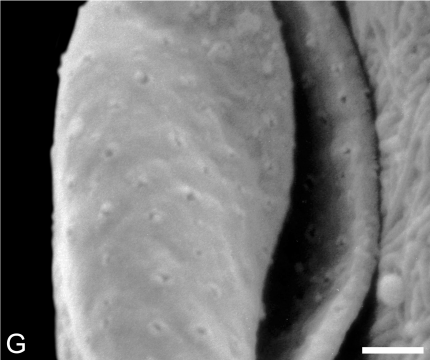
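The wall surface is smooth and bears relatively few, tiny, widely scattered perforations. A dark elongated furrow runs alongside it, and beyond lies a neighbouring surface covered with densely packed rod-like elements.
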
